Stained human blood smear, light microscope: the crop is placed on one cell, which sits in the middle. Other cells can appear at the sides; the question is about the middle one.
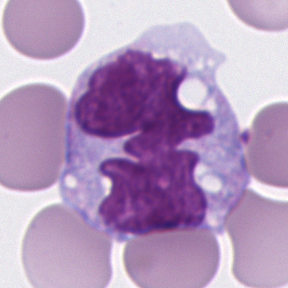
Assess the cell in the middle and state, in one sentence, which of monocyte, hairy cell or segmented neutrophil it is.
This crop has a monocyte at its centre.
